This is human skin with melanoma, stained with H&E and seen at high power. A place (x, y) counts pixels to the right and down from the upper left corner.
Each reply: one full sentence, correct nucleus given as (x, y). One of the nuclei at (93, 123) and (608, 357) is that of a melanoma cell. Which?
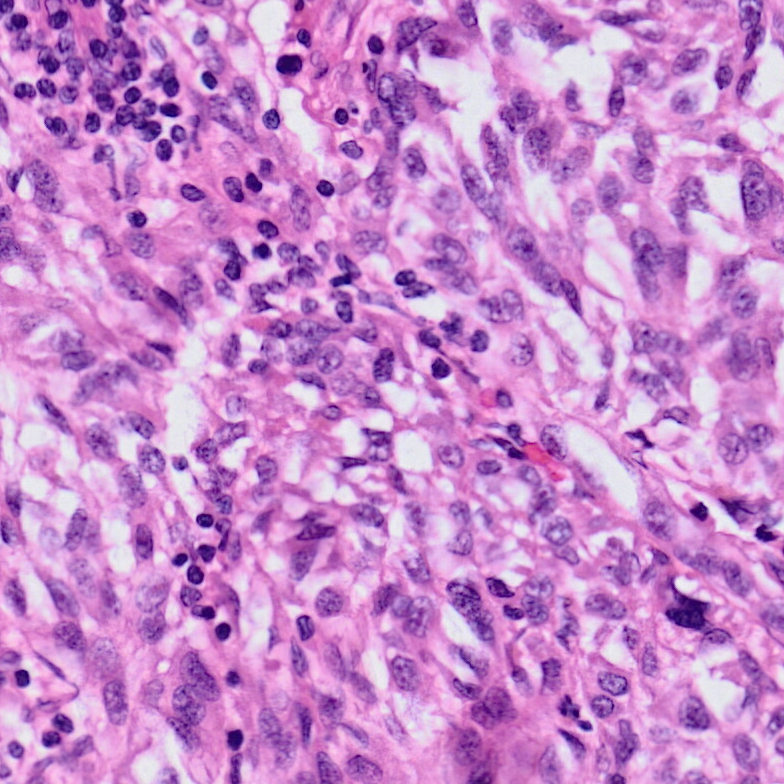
Of the two, the nucleus at (608, 357) is the one contained in a melanoma cell.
